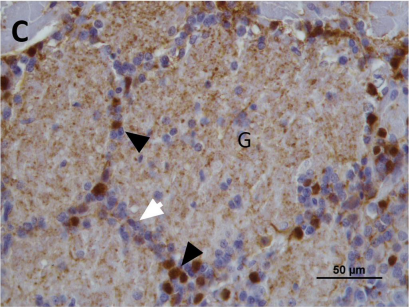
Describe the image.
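This is the glomerular layer of the olfactory bulb at high magnification. A large rounded glomerulus fills the centre, a finely granular neuropil with diffuse light brown staining and few nuclei. Around its margins lies a band of small juxtaglomerular cells with round, blue-stained nuclei and scant cytoplasm. The contrast between the pale, nucleus-poor glomerular neuropil and the cell-rich periglomerular rim is striking.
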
